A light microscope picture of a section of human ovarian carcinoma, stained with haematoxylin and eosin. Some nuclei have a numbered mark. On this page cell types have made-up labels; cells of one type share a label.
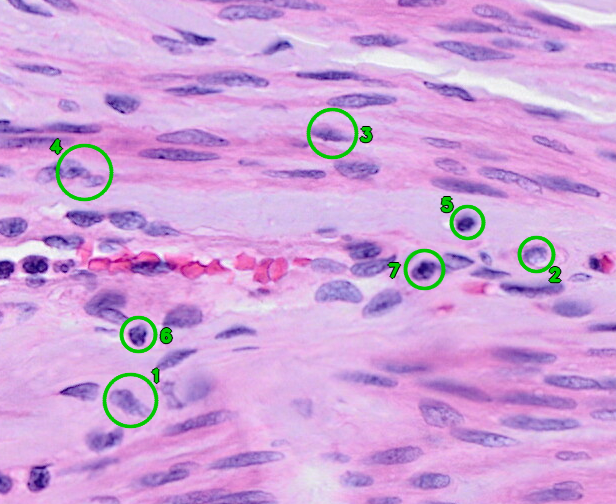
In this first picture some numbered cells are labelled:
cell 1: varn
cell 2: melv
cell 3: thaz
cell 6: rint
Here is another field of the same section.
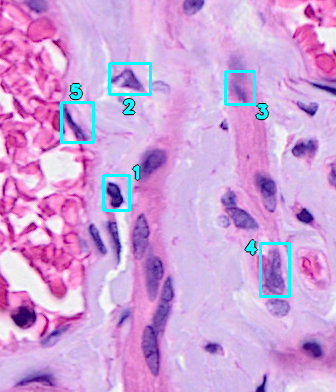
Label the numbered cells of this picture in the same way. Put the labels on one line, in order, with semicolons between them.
rint; varn; thaz; melv; melv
